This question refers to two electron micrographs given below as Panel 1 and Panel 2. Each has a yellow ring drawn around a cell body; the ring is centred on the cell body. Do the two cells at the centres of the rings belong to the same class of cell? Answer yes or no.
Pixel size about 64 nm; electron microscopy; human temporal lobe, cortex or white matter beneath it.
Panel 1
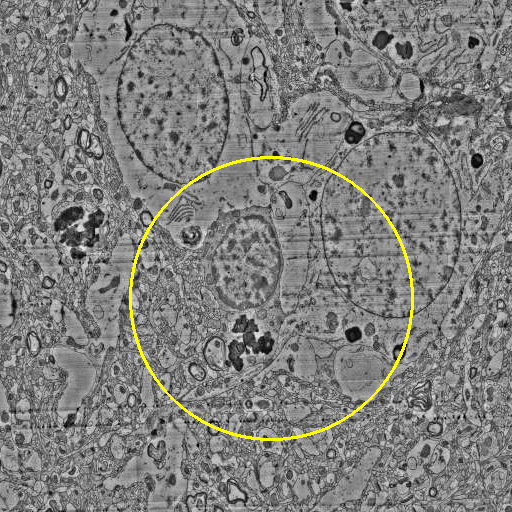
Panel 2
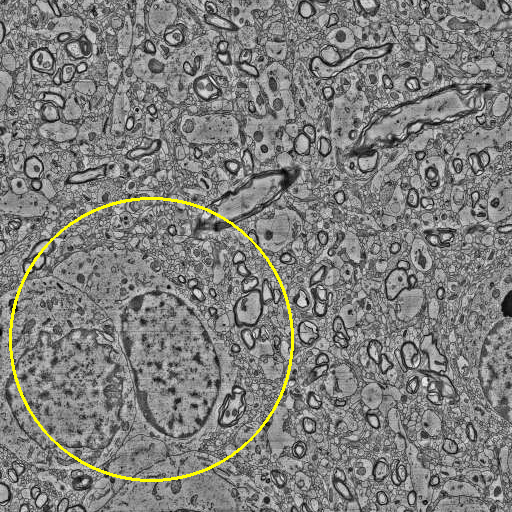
no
